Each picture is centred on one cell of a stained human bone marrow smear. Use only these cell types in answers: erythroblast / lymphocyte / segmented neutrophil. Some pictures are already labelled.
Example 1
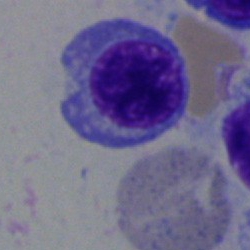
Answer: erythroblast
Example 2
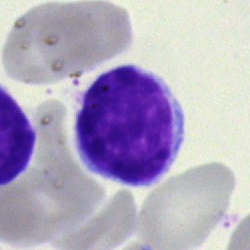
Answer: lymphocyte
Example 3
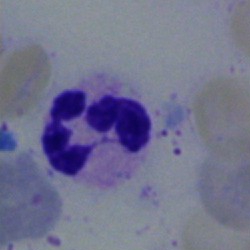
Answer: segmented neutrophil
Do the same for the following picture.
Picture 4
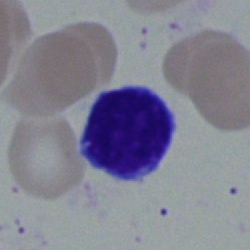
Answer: lymphocyte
